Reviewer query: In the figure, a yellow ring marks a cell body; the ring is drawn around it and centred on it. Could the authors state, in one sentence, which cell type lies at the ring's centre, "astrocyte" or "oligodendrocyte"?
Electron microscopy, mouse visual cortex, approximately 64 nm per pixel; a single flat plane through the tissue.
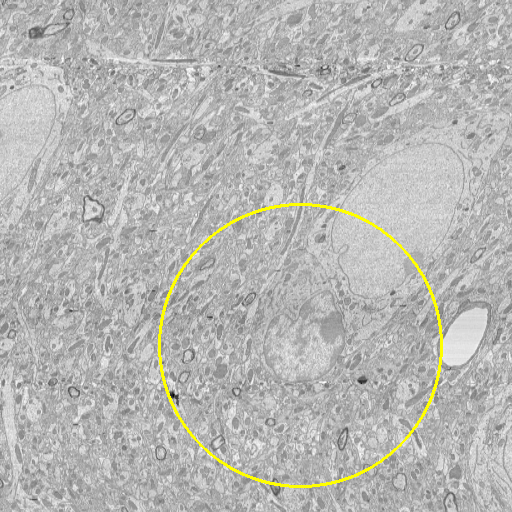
The ring is centred on an oligodendrocyte.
